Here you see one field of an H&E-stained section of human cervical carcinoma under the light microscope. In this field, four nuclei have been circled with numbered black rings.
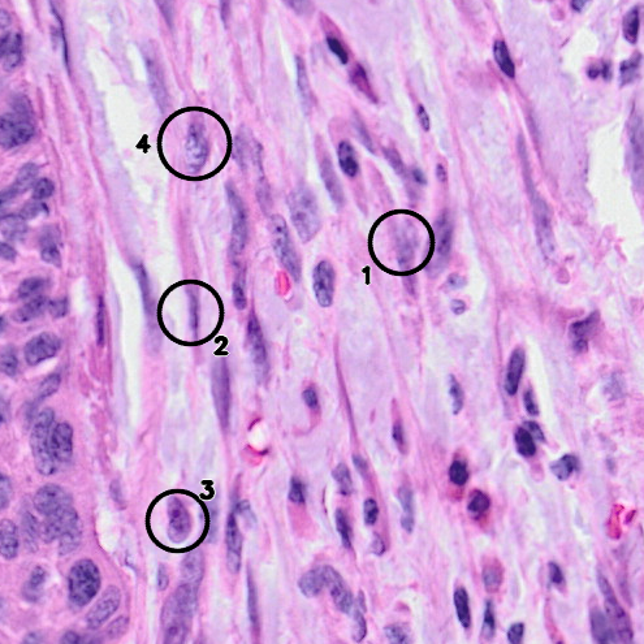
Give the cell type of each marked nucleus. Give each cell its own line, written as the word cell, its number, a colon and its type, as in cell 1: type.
cell 1: fibroblast
cell 2: fibroblast
cell 3: macrophage or monocyte
cell 4: endothelial cell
